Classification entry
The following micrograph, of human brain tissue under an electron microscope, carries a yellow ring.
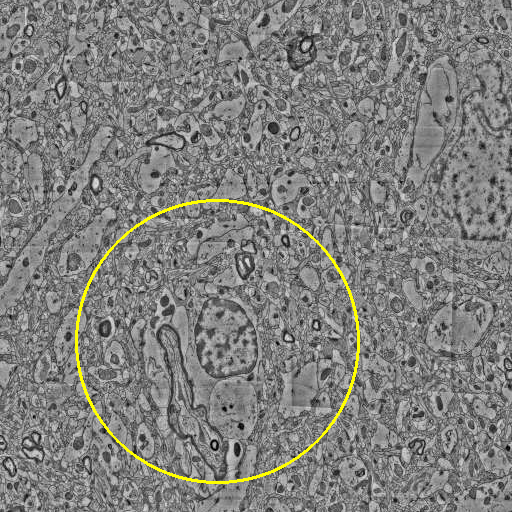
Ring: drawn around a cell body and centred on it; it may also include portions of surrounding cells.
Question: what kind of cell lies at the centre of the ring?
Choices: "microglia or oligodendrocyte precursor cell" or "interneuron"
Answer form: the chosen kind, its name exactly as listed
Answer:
microglia or oligodendrocyte precursor cell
